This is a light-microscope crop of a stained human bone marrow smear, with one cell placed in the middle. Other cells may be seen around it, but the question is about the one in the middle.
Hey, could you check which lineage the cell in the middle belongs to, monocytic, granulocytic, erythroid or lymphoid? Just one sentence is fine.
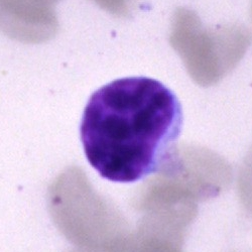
The cell occupying the middle of the crop is classified within the lymphoid lineage.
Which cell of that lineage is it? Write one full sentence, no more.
Answering briefly, the cell in the middle is a lymphocyte.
